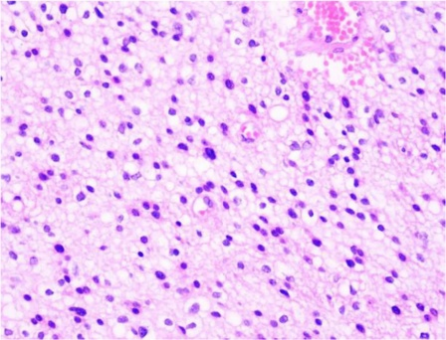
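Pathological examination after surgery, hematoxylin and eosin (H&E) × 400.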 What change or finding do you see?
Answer: Astrocytoma.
